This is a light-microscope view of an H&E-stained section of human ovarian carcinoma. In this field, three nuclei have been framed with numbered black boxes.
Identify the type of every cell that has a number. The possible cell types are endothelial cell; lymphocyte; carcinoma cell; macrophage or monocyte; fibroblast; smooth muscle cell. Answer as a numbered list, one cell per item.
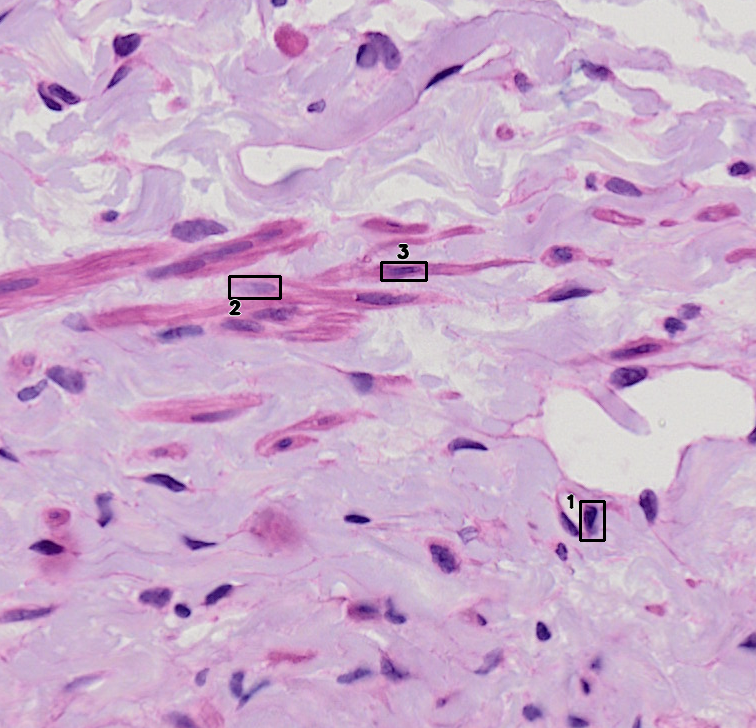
1. endothelial cell
2. smooth muscle cell
3. smooth muscle cell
